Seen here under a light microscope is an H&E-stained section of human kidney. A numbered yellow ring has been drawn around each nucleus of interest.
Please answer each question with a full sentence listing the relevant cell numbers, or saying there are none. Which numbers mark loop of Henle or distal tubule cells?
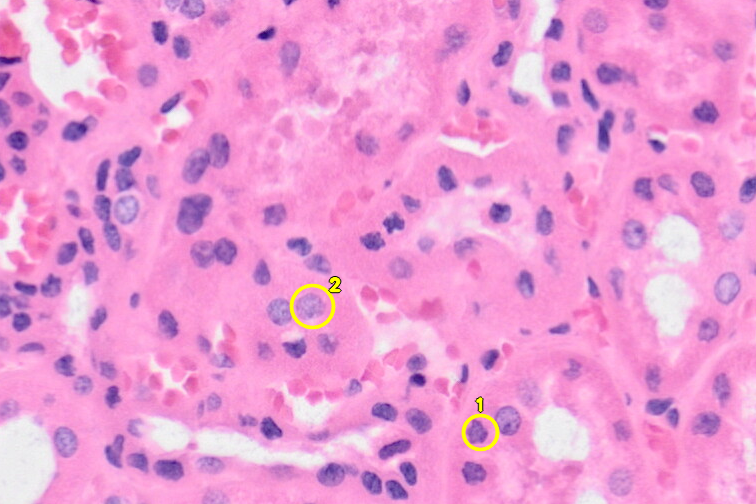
Of the cells bearing numbers, the only one that is a loop of Henle or distal tubule cell is cell 2.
